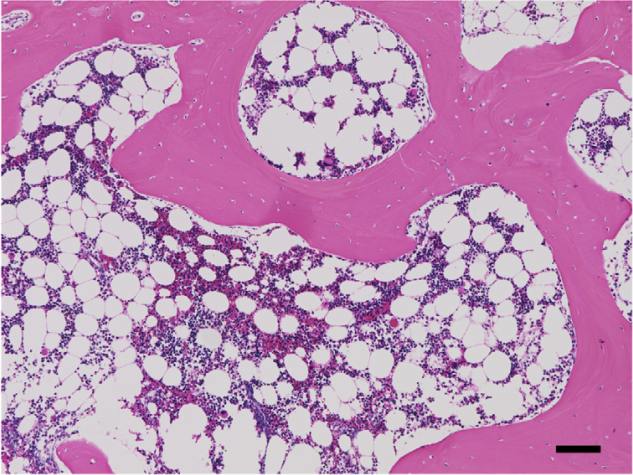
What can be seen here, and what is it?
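Pink-staining bony trabeculae containing small osteocytes in lacunae border wide marrow cavities. The cavities are filled with marrow made up of many large empty-looking round fat cells. Between the fat cells lie clusters of small, dark purple-nucleated hematopoietic cells and red blood cells. The bony bands are comparatively thin relative to the large marrow spaces they surround, which fits reduced trabecular bone thickness.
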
